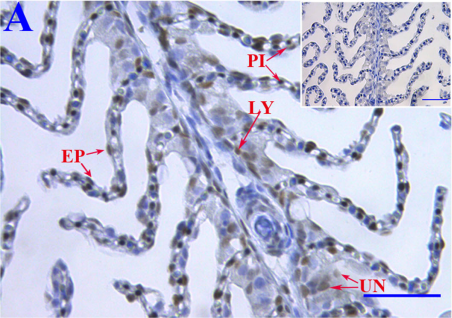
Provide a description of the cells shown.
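The section shows gill filaments with thin secondary lamellae projecting at regular intervals on either side of a central filament axis. Each lamella is a narrow sheet lined by flattened epithelial cells, with pillar cells spanning the interior, and many of their nuclei are stained brown. Cells at the base of the lamellae along the filament are more crowded and stacked, and some also show brown nuclei.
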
